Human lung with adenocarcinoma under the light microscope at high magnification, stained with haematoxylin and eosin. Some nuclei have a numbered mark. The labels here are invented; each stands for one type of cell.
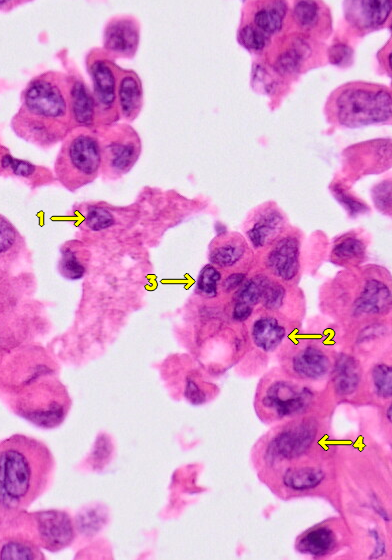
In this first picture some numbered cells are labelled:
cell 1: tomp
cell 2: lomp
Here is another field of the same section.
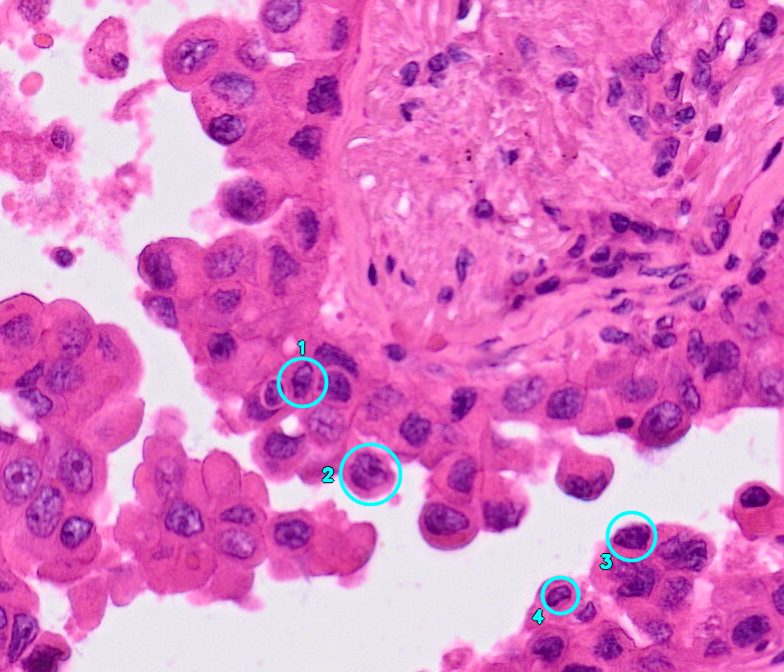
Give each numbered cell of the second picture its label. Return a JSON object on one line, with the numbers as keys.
{"1": "lomp", "2": "lomp", "3": "lomp", "4": "tomp"}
